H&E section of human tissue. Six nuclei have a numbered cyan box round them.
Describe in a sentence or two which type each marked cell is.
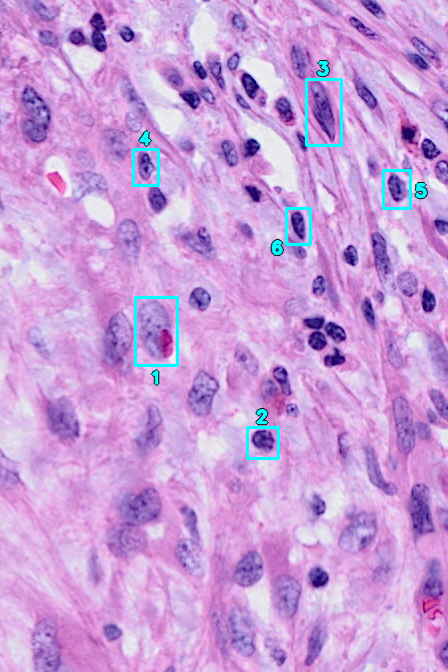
Cell 1 is an endothelial cell, cell 2 is a lymphocyte, cell 3 is an endothelial cell, cell 4 is a lymphocyte, cell 5 is a lymphocyte and cell 6 is a lymphocyte.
